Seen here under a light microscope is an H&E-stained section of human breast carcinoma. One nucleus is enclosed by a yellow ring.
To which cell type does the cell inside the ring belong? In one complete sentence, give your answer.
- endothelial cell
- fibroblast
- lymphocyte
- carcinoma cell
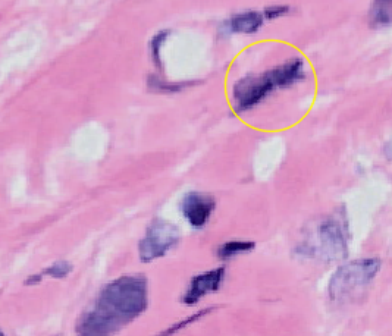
The correct response here is that the cell inside the ring is a fibroblast.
